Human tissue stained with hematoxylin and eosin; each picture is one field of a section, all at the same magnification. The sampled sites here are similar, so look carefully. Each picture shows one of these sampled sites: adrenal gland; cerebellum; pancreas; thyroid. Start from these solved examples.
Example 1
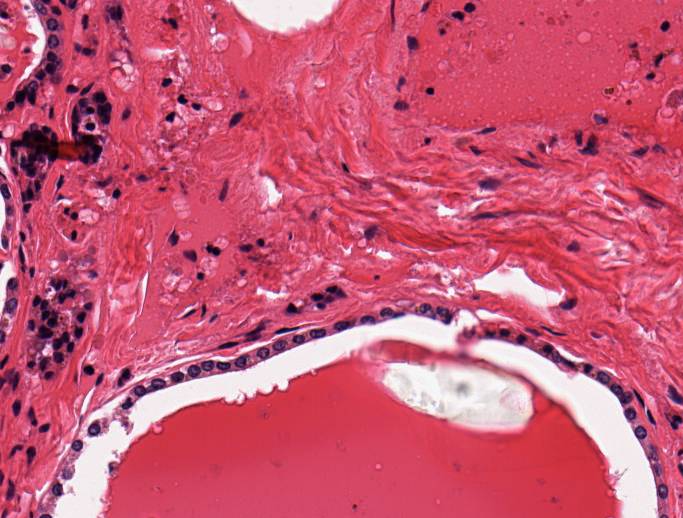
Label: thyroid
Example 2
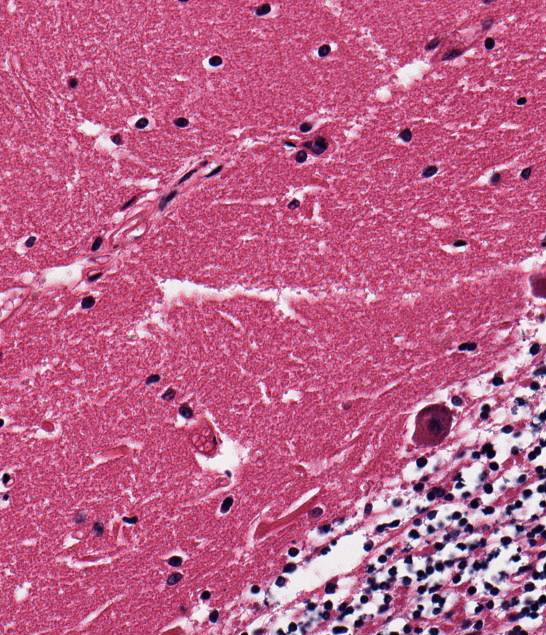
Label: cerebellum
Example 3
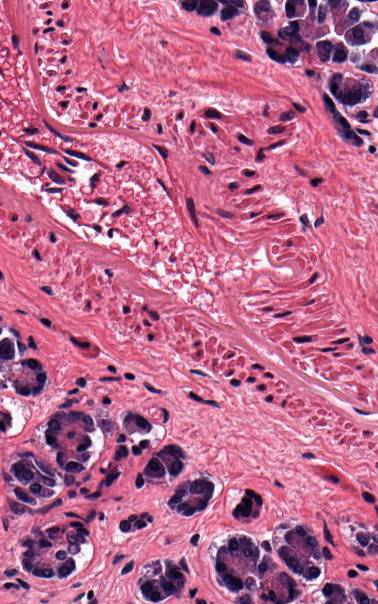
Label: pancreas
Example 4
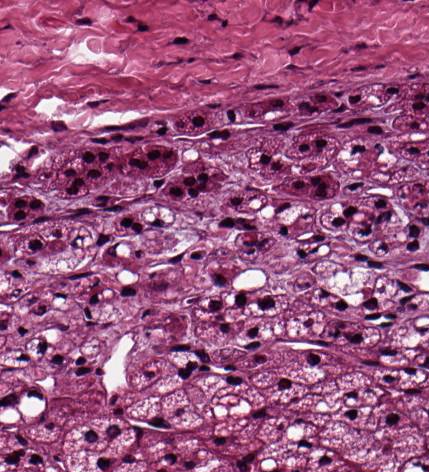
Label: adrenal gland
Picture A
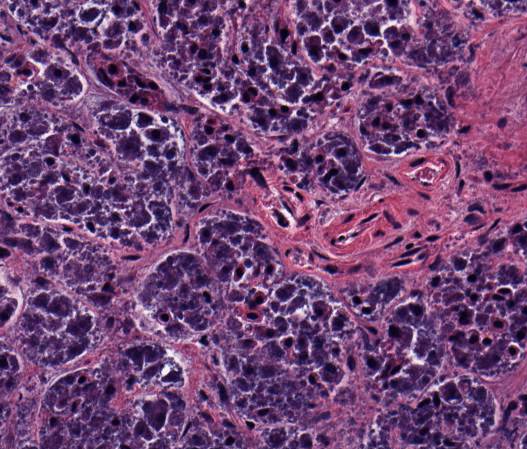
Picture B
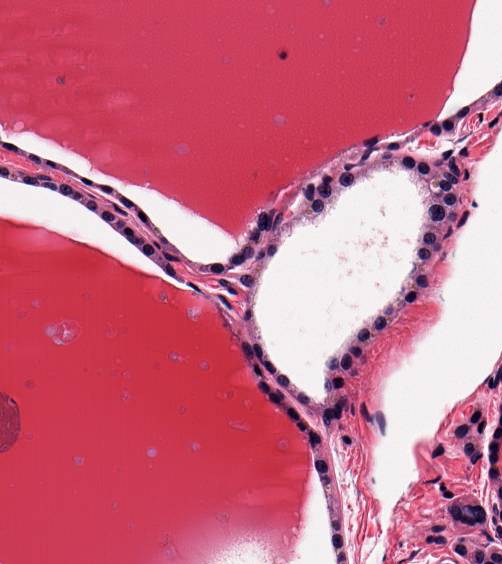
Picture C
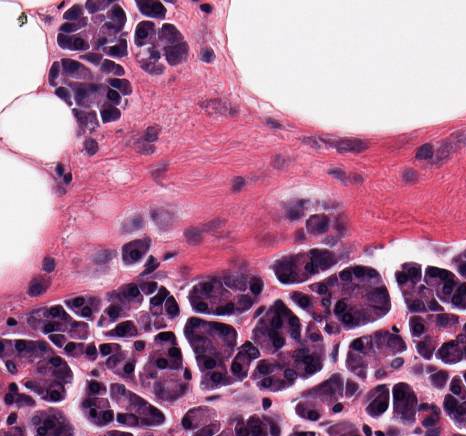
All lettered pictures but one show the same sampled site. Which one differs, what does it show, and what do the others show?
B differs and shows thyroid; the others show pancreas.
